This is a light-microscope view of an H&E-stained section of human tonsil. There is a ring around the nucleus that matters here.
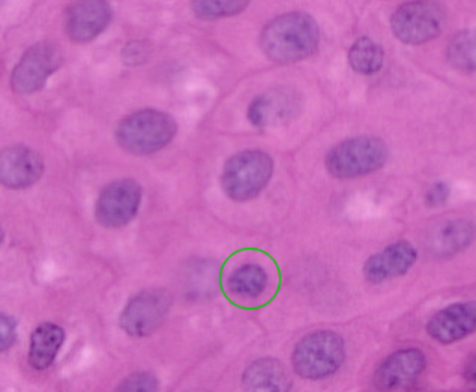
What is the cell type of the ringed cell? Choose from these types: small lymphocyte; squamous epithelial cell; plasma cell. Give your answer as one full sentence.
By its classification, the ringed cell is a squamous epithelial cell.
